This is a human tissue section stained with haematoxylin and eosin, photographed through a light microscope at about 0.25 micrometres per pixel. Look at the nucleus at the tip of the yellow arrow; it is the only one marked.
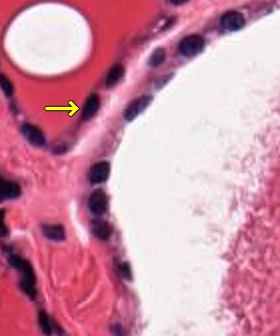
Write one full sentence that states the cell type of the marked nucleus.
The marked nucleus is recognized as the nucleus of a thyroid follicular cell.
